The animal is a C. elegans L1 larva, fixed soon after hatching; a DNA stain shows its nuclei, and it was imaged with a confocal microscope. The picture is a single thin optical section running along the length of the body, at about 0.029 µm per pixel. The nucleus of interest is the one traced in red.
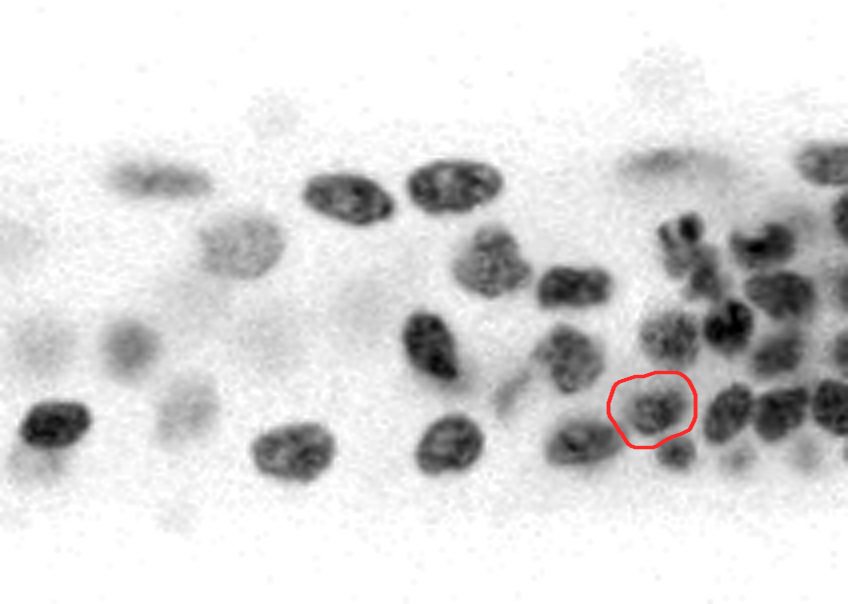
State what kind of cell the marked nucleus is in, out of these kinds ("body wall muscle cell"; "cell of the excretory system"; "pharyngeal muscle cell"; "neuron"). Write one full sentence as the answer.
What is marked is the nucleus of a cell of the excretory system.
